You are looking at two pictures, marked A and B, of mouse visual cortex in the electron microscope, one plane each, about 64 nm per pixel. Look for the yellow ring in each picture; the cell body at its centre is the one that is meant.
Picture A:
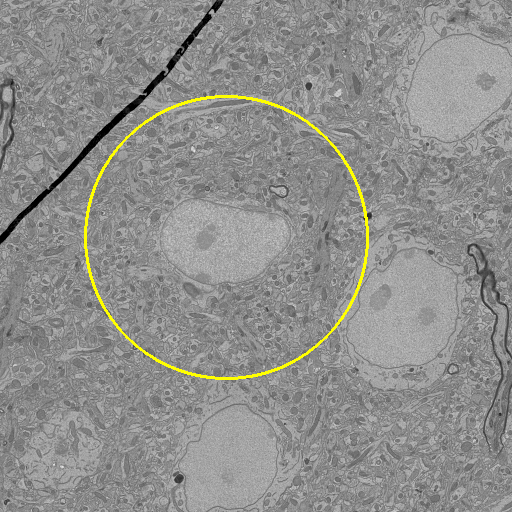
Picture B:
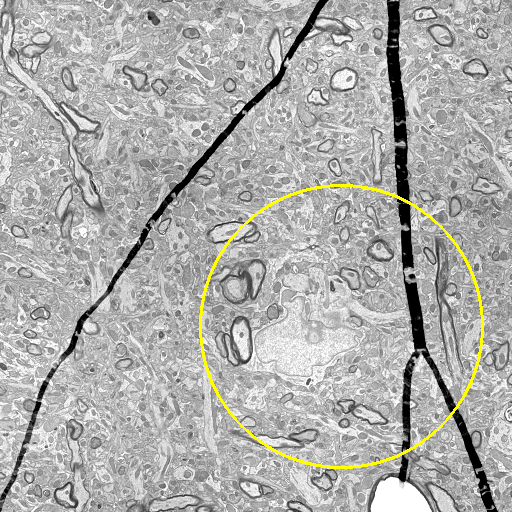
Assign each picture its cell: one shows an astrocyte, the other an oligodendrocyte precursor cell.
Picture B shows an oligodendrocyte precursor cell, while picture A shows an astrocyte.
